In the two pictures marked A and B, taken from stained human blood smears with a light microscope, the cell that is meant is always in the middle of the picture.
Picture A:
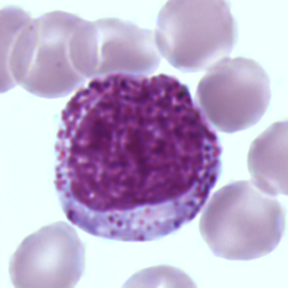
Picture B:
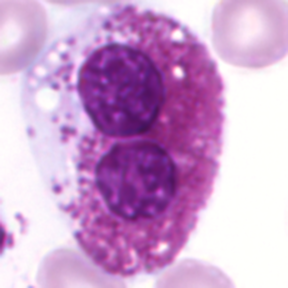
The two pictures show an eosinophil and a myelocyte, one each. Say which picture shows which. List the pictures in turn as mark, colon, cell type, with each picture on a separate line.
A: myelocyte
B: eosinophil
